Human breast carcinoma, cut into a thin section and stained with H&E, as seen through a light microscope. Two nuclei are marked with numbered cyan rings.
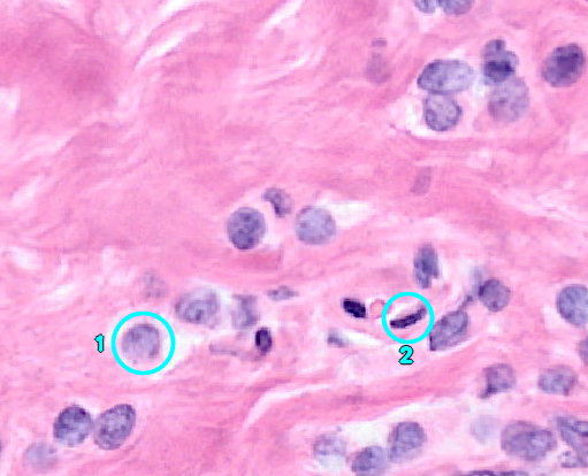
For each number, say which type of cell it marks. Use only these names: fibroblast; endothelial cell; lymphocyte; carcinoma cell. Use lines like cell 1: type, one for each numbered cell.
cell 1: carcinoma cell
cell 2: endothelial cell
